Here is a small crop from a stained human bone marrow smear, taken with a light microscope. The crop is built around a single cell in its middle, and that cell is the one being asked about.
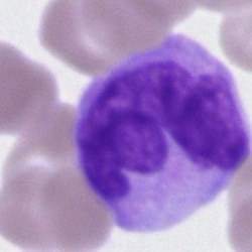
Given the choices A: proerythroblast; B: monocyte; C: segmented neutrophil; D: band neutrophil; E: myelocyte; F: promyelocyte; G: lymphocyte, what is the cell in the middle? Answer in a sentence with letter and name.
Option B is correct; the cell in the middle is a monocyte.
